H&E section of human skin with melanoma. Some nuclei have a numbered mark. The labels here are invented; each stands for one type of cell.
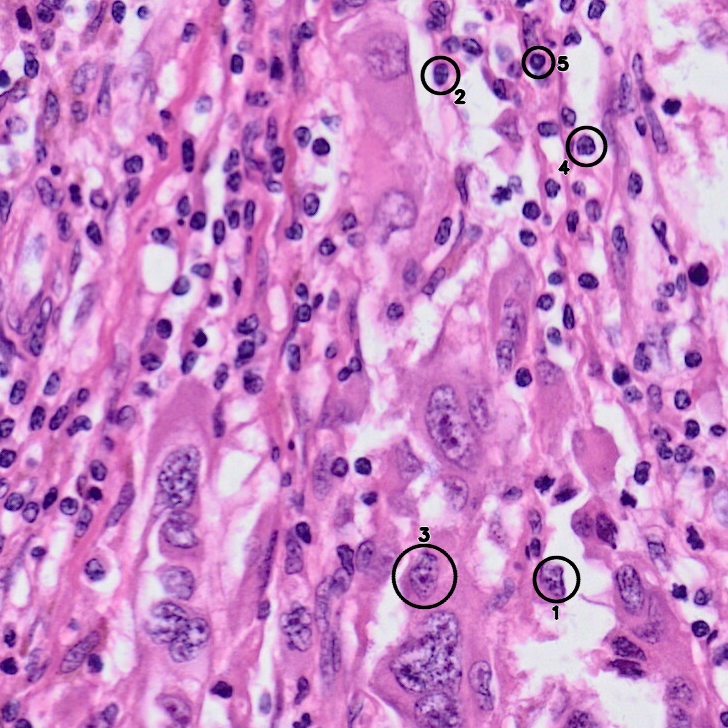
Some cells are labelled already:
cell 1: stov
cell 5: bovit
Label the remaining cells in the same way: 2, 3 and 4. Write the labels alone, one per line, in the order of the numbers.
bovit
stov
bovit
